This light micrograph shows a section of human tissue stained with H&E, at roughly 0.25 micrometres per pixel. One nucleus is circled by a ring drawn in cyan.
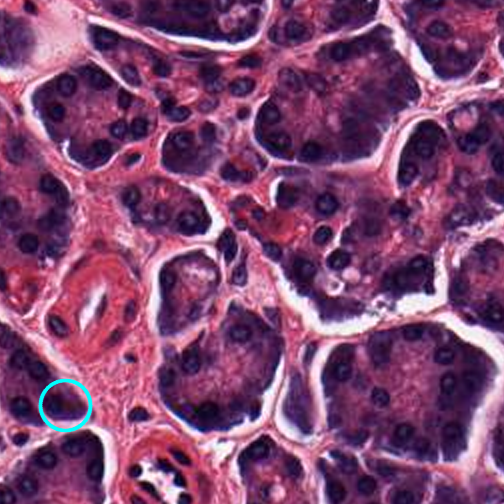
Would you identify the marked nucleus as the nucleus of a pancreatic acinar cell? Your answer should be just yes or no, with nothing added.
yes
